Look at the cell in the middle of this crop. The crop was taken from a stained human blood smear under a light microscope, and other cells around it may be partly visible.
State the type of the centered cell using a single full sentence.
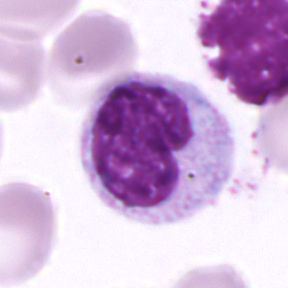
Positioned in the middle of the crop is a metamyelocyte.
